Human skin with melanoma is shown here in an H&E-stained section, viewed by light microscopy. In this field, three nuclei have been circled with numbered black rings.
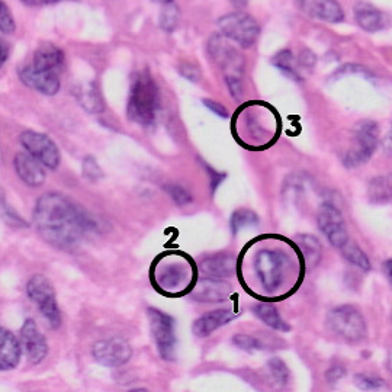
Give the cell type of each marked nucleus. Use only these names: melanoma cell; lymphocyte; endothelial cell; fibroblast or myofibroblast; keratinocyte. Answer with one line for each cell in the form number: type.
1: melanoma cell
2: melanoma cell
3: endothelial cell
